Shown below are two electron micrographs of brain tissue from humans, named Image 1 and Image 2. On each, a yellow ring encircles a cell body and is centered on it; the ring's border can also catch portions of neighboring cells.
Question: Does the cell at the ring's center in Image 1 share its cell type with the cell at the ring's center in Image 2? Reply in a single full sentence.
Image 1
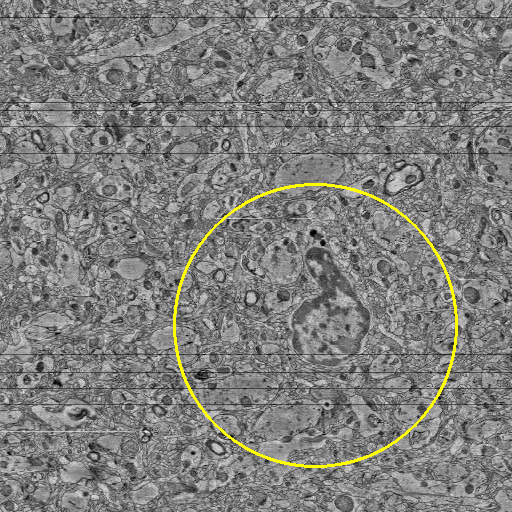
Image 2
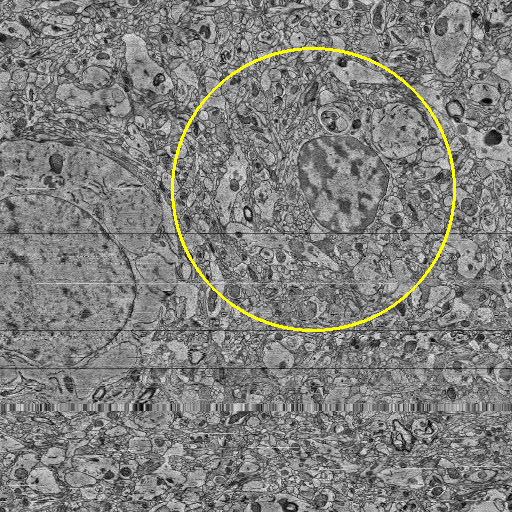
Yes, the two cells at the ring centers, in Image 1 and Image 2, share one cell type.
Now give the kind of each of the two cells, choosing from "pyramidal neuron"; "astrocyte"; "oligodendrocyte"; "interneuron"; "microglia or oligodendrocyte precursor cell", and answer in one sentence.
Each of the two pictures has a microglial cell or oligodendrocyte precursor cell at the ring centre.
